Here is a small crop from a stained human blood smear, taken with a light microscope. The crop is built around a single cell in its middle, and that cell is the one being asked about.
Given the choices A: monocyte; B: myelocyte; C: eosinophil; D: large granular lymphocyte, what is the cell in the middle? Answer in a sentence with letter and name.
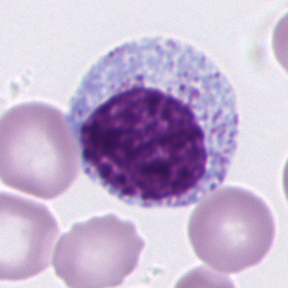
In the middle of the crop is a myelocyte; option B is therefore correct.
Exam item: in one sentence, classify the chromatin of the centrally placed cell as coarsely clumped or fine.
The chromatin pattern here is coarse and clumped.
